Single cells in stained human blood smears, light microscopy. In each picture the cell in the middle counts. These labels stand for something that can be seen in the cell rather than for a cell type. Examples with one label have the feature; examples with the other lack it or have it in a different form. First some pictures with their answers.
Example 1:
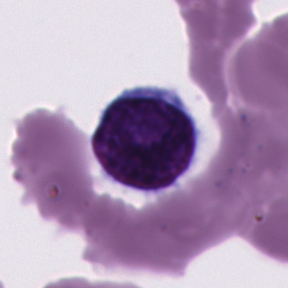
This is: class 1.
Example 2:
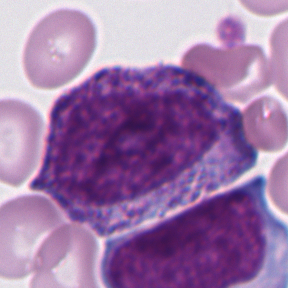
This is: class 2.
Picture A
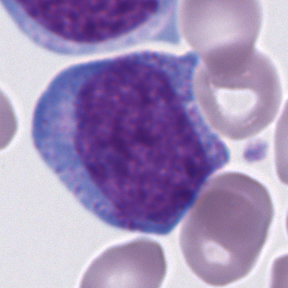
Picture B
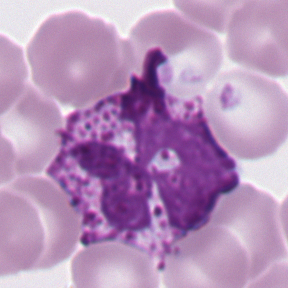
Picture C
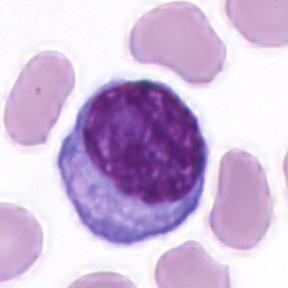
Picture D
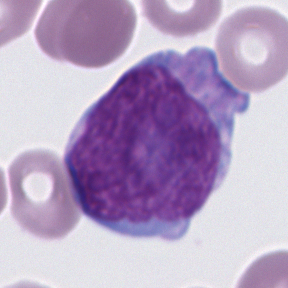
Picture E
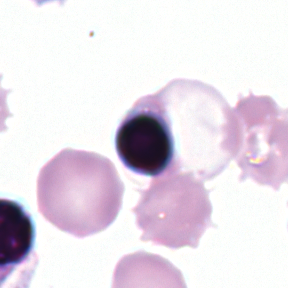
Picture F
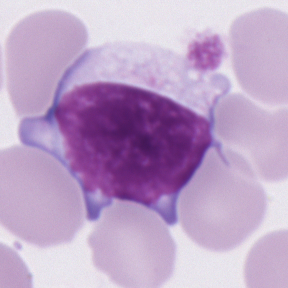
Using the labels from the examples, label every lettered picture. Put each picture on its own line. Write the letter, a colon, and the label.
A: class 2.
B: class 2.
C: class 1.
D: class 2.
E: class 1.
F: class 2.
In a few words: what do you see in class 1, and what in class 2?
In class 1: smooth outline. In class 2: ragged outline or projections.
